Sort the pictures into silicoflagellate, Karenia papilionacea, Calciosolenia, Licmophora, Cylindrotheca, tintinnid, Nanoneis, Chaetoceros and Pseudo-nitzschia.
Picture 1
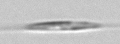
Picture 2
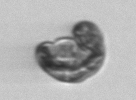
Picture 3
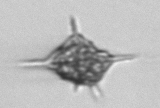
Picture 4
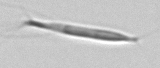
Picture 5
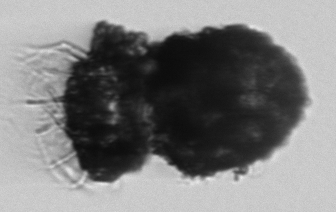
Cylindrotheca: 1
Karenia papilionacea: 2
Silicoflagellates: 3
Calciosolenia: 4
Tintinnids: 5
